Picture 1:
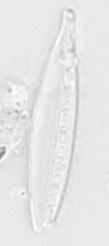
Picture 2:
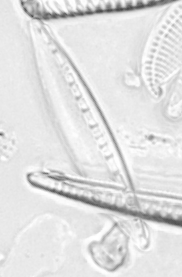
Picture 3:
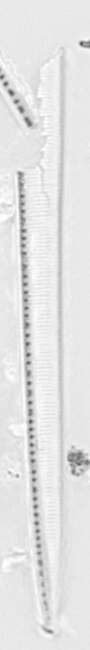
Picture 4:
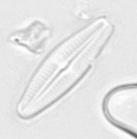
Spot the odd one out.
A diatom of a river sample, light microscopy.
Picture 4 (Achnanthidium among Nitzschia).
